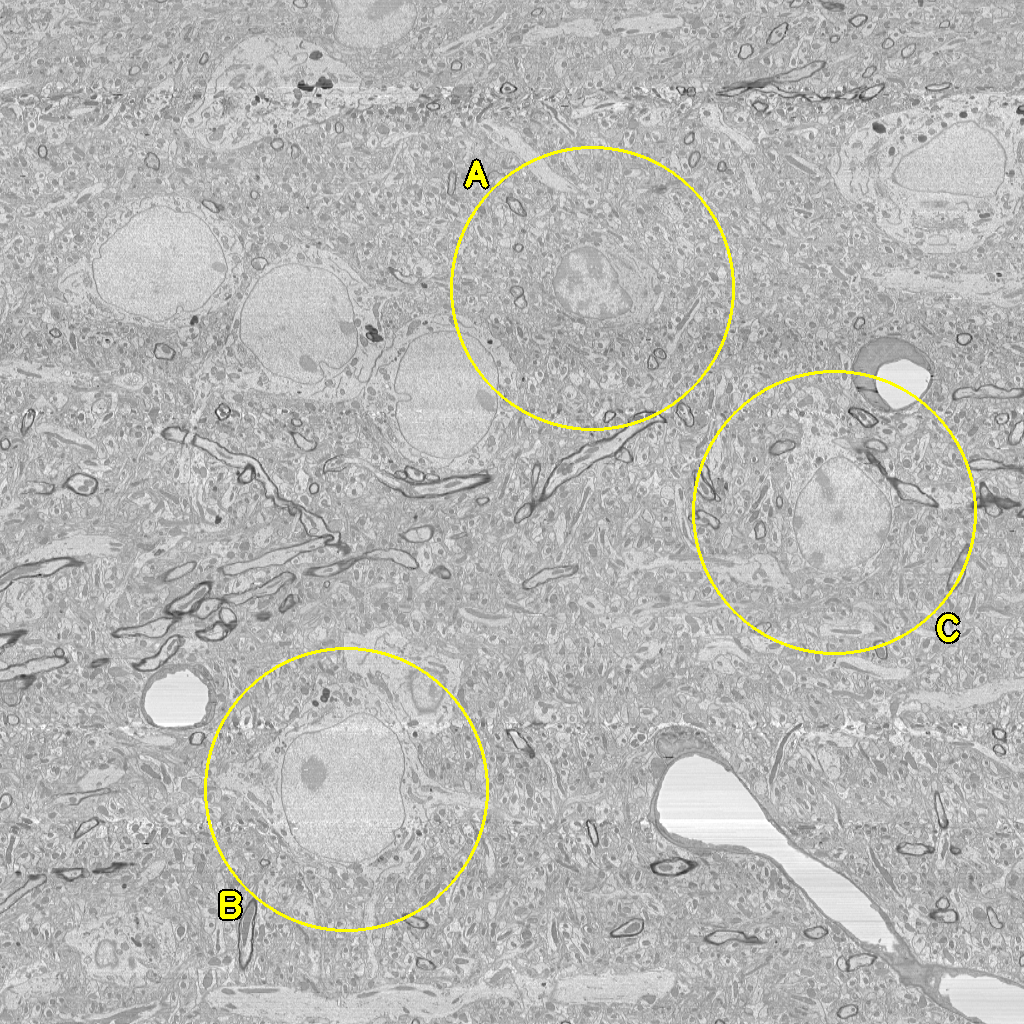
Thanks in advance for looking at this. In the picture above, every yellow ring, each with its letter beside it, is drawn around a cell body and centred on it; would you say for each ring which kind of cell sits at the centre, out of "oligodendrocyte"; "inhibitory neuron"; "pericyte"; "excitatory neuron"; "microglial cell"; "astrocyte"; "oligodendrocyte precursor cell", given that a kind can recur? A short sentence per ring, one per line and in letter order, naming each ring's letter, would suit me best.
The cell body in ring A belongs to an oligodendrocyte.
The cell body in ring B belongs to an excitatory neuron.
The cell body in ring C belongs to an astrocyte.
